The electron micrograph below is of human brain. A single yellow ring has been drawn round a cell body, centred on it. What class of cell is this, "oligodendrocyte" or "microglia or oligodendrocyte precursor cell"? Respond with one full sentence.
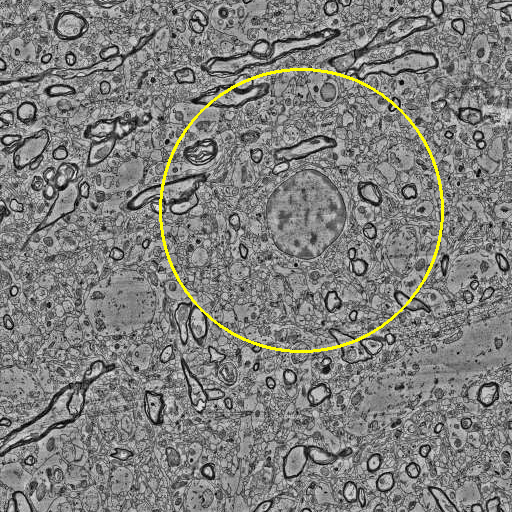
In the micrograph, the cell centred inside the yellow ring is a microglial cell or oligodendrocyte precursor cell.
